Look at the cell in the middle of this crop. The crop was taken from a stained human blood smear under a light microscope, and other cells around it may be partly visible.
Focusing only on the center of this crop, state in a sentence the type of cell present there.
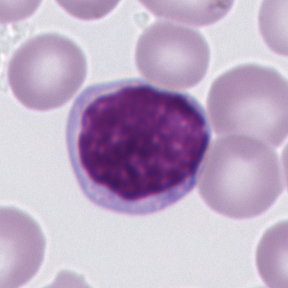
The cell marked by its central position in the crop is a large granular lymphocyte.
